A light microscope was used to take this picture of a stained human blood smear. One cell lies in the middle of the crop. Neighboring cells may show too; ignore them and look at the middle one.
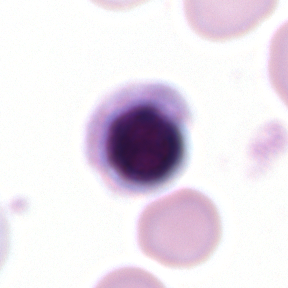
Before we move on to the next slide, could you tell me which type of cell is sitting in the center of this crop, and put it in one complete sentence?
The middle of this crop holds a normoblast.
